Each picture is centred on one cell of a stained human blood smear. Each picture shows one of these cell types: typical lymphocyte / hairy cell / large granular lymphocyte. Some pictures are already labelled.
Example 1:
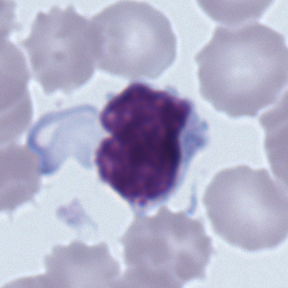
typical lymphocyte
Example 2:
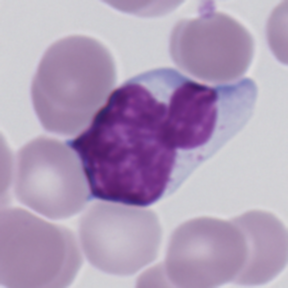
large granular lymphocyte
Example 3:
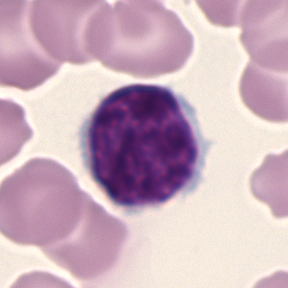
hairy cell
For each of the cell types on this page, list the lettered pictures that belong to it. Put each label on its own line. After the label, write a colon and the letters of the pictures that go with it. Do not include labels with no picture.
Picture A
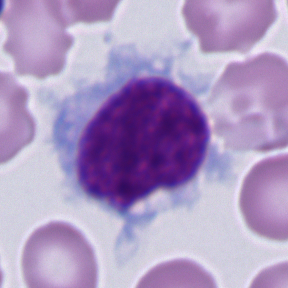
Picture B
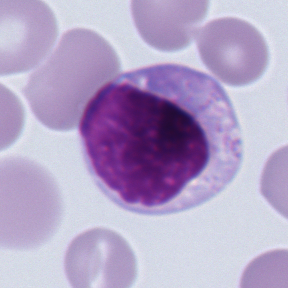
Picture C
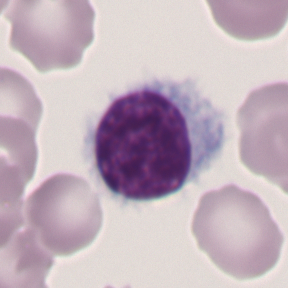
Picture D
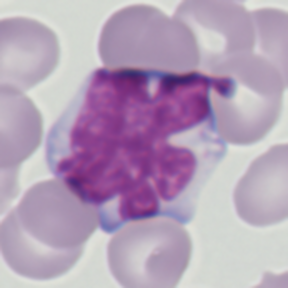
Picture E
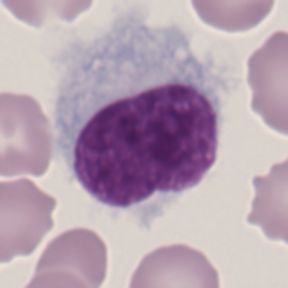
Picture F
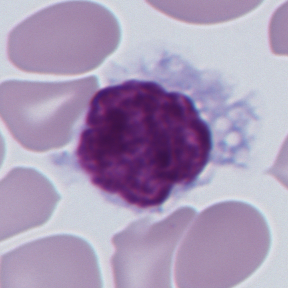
hairy cell: A, C, E, F
large granular lymphocyte: B, D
